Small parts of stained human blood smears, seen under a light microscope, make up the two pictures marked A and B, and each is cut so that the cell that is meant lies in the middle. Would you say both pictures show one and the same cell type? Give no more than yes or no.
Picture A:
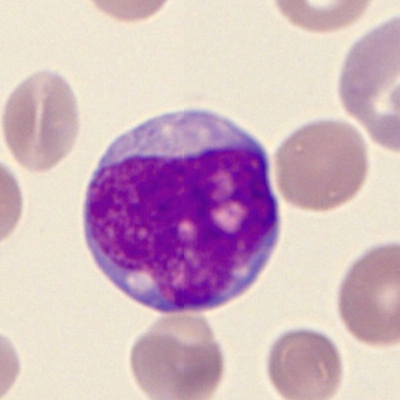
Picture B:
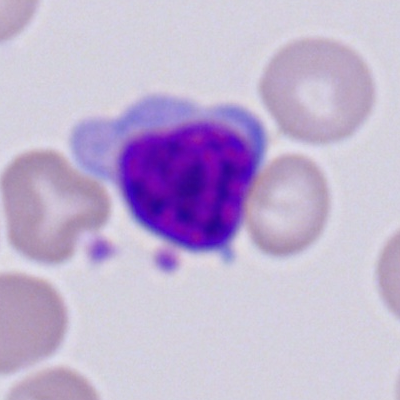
no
